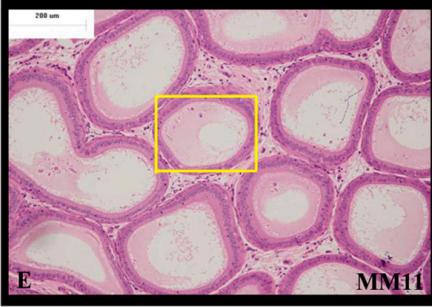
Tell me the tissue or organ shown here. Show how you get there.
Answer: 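Epididymis tube. Round and convoluted duct profiles with wide lumens. Ducts are lined by a tall columnar epithelium with a smooth luminal edge. Loose connective tissue lies between the ducts.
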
